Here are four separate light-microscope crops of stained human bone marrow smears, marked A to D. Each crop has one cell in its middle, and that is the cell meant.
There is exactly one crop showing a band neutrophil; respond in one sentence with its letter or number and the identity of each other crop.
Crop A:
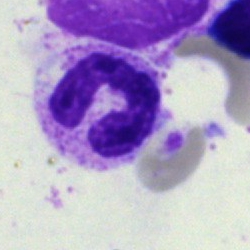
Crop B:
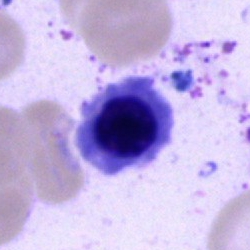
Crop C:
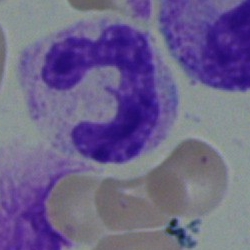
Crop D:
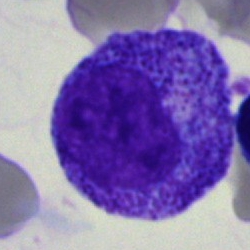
Crop by crop: crop C is a band neutrophil, while crop A is a segmented neutrophil, crop B is an erythroblast and crop D is a promyelocyte.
